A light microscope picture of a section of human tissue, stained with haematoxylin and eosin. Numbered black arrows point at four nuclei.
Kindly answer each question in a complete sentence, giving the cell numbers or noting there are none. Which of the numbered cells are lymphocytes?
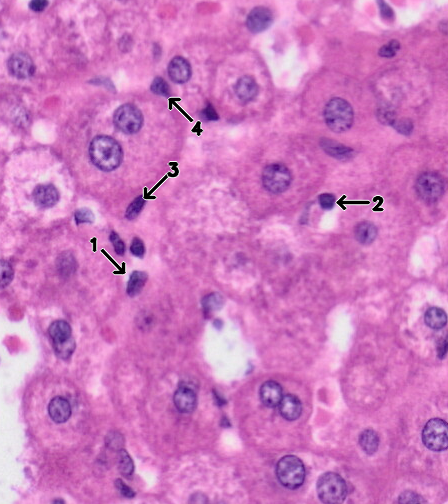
Cell 2 is a lymphocyte; every other numbered cell is something else.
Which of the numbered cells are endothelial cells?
Cell 1 represents an endothelial cell, and no other numbered cell does.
